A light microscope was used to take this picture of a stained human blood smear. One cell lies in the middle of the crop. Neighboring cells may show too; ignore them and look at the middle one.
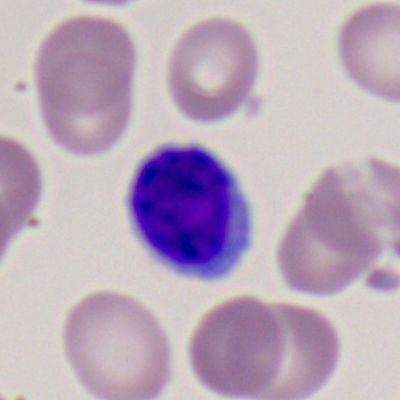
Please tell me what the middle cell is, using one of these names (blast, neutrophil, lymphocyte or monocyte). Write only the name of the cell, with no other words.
lymphocyte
